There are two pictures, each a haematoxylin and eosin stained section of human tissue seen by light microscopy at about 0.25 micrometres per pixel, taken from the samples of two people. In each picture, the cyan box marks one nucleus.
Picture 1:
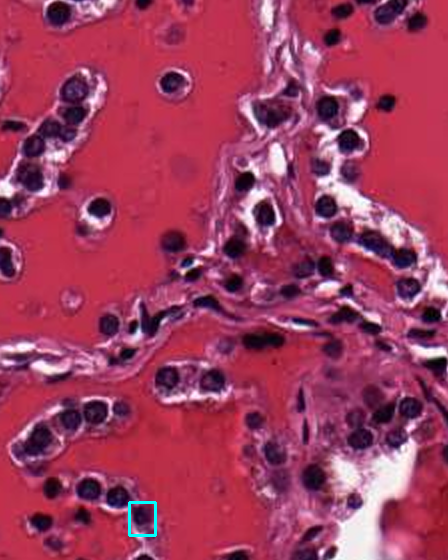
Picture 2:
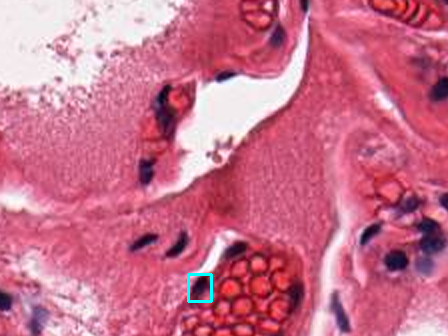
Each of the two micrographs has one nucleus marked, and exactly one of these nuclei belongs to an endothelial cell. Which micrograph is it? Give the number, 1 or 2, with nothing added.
2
